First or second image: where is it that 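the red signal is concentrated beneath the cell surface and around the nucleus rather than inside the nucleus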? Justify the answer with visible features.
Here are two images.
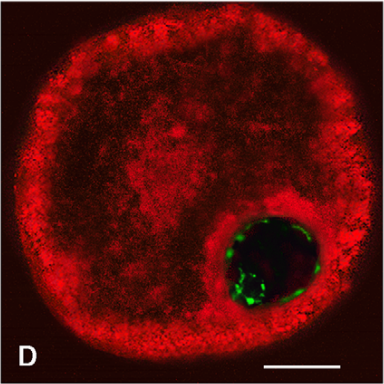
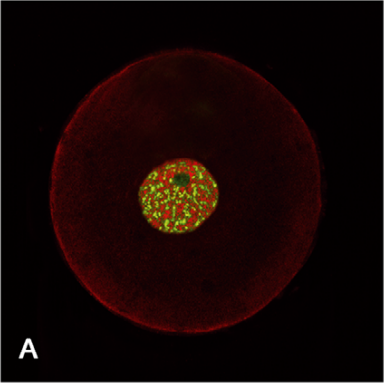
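First image: bright red band under the cell surface and ring around a dark nucleus. Second image: red signal fills the nucleus while the cytoplasm is faint. So: the first image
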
